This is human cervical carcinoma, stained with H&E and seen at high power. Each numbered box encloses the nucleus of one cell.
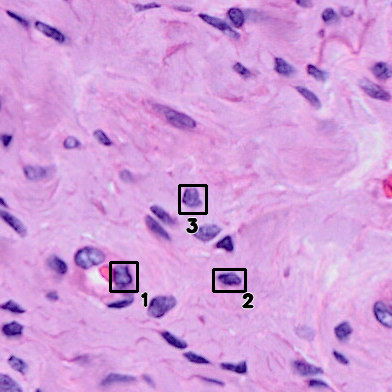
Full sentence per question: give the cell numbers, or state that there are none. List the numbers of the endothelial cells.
Cell 1 is an endothelial cell, and it is the only numbered cell that is.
